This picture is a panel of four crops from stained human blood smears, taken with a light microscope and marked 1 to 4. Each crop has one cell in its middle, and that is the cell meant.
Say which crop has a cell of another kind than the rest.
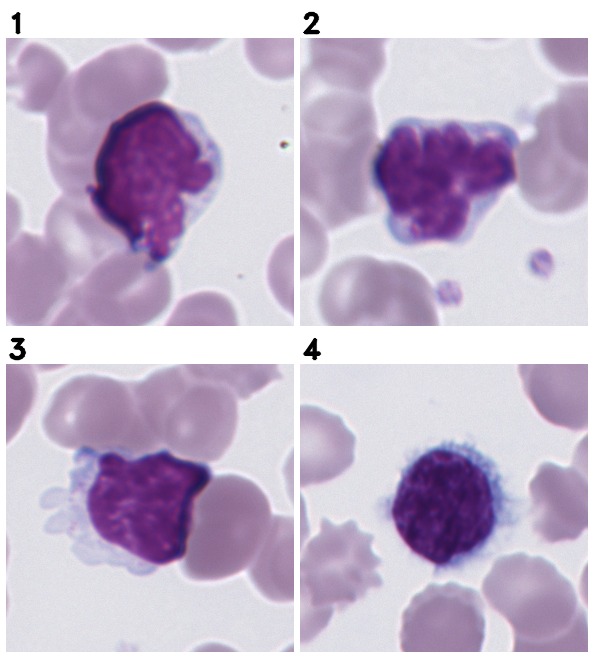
4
